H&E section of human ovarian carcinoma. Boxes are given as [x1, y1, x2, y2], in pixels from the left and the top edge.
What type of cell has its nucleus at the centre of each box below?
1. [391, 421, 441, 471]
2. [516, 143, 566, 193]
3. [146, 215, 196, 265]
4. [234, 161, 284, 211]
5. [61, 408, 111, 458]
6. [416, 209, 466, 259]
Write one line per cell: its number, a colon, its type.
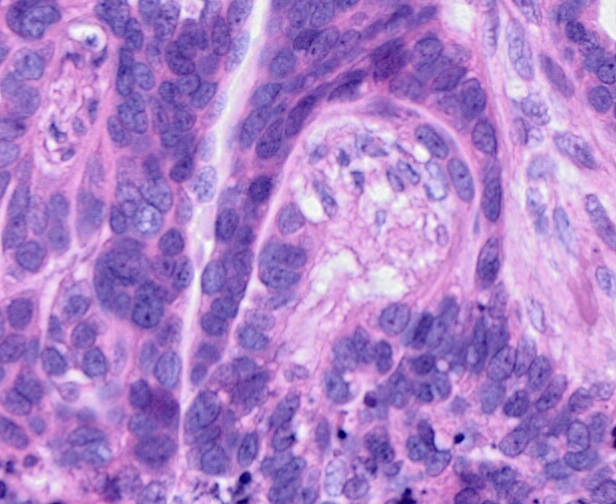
1: carcinoma cell
2: fibroblast
3: carcinoma cell
4: carcinoma cell
5: carcinoma cell
6: fibroblast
